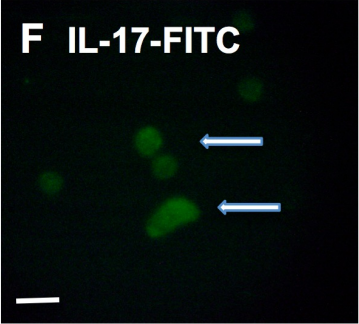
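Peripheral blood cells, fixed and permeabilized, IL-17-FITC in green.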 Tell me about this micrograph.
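On a dark field lie a few small round cells glowing green throughout their bodies, two of them brighter, one single and round, the other a larger irregular clump of touching cells. These are lymphocytes with green staining within the cell.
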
